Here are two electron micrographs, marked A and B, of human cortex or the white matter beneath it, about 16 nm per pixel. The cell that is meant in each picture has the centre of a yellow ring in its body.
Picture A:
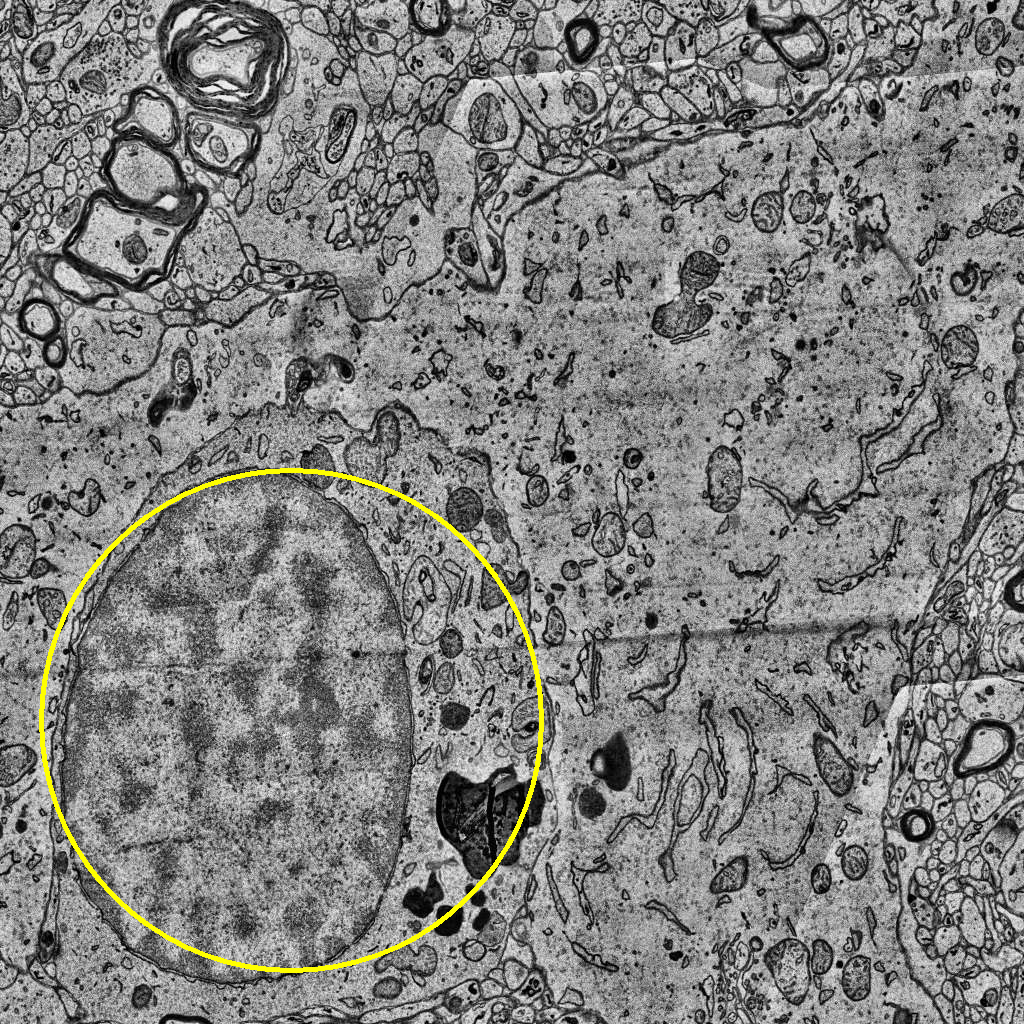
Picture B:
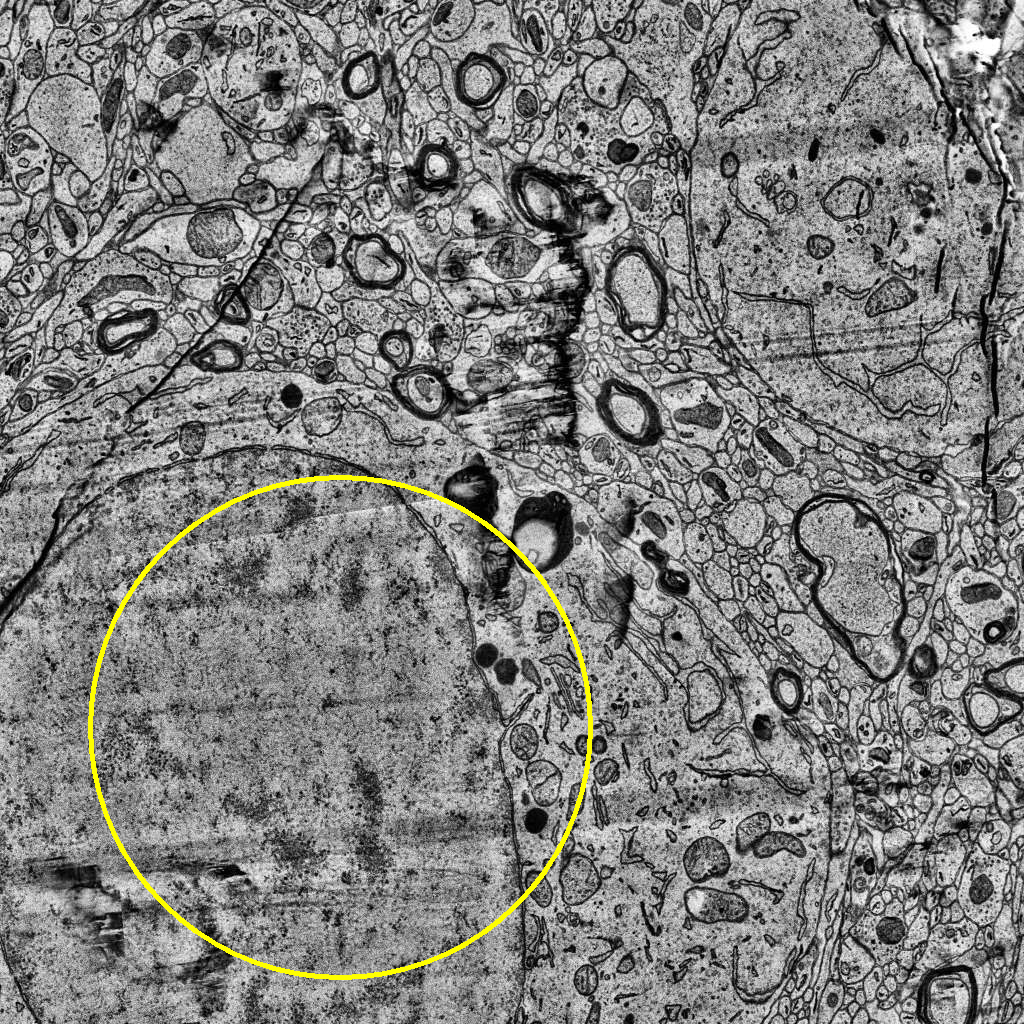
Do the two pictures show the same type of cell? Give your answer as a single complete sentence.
No, they differ: the cell is an oligodendrocyte in picture A and a pyramidal neuron in picture B.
